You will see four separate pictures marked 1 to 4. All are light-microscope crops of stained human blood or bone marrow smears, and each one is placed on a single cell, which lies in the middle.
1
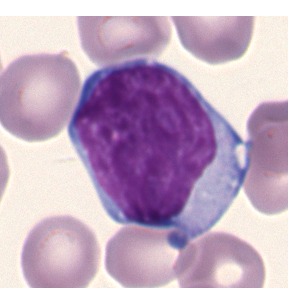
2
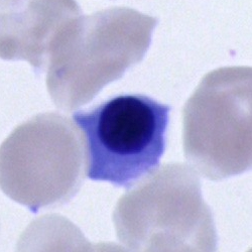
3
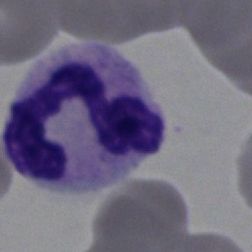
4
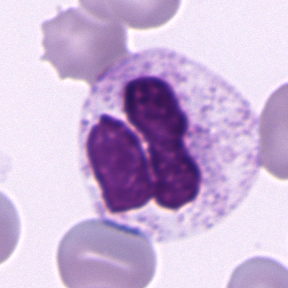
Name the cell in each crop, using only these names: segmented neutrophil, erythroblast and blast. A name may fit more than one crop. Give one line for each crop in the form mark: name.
1: blast
2: erythroblast
3: segmented neutrophil
4: segmented neutrophil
